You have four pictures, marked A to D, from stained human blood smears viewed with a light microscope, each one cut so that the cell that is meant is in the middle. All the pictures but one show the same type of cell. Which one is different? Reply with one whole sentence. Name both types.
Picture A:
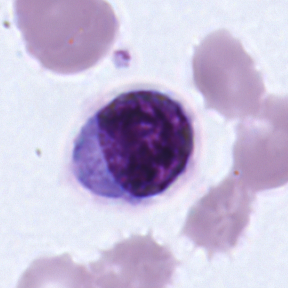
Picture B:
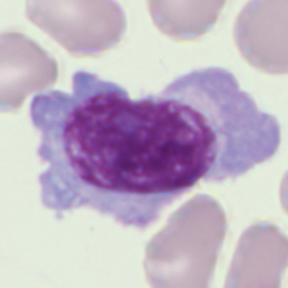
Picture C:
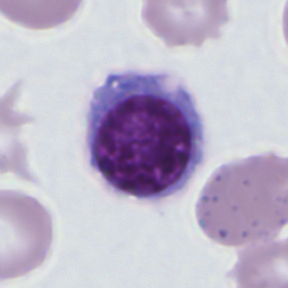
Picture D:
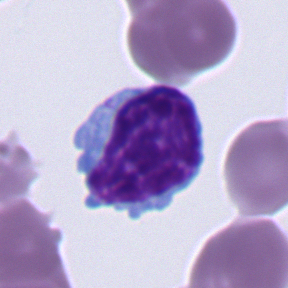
Picture D differs, because its cell is a typical lymphocyte and the rest are plasma cells.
